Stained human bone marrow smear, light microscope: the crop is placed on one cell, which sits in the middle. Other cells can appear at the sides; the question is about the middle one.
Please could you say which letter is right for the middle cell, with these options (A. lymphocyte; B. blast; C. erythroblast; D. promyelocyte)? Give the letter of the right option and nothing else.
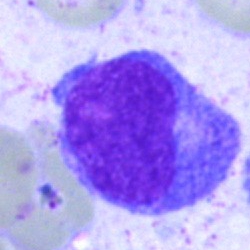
D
